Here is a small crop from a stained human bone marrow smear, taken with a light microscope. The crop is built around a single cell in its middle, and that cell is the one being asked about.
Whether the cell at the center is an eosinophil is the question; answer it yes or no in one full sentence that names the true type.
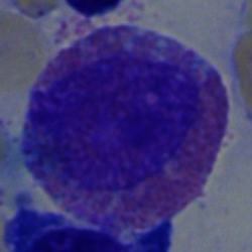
Yes, the identification of the central cell as an eosinophil is correct.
